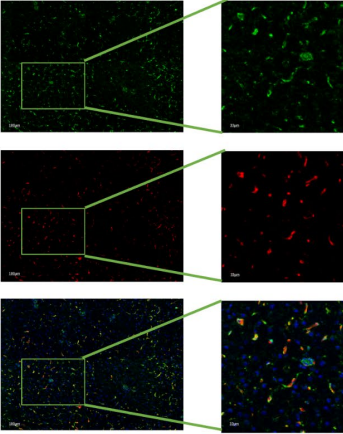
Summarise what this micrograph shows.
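In the green view, many small, irregular and elongated bright cells are spread across the field, with one larger rounded green structure in the enlarged view. In the red view, similar small, elongated or branched cells are scattered singly between unstained areas. In the merged view, many of these cells appear yellow-orange where green and red overlap, lying among the evenly spaced blue nuclei of the surrounding tissue.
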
